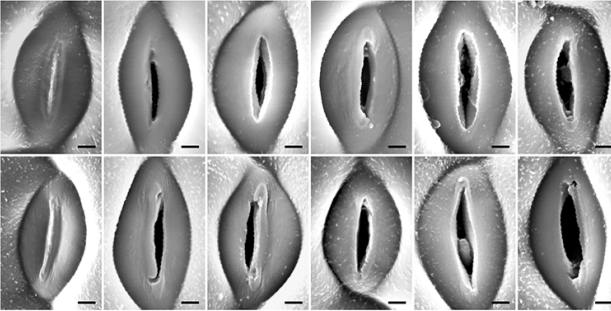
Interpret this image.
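The surface of the guard cells looks smooth, with a raised rim around the pore, and the surrounding epidermal surface is faintly textured. In the leftmost images the pore is a closed, thin slit; in the images further to the right it becomes a dark, elongated opening that is progressively wider, so that the stomatal aperture is visibly open.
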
